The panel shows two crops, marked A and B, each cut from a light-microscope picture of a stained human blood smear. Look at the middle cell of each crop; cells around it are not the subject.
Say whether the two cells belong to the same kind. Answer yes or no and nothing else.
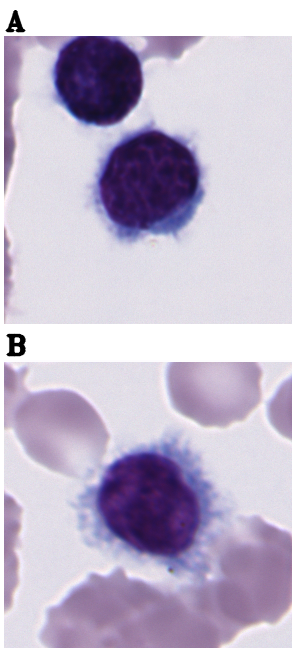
yes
